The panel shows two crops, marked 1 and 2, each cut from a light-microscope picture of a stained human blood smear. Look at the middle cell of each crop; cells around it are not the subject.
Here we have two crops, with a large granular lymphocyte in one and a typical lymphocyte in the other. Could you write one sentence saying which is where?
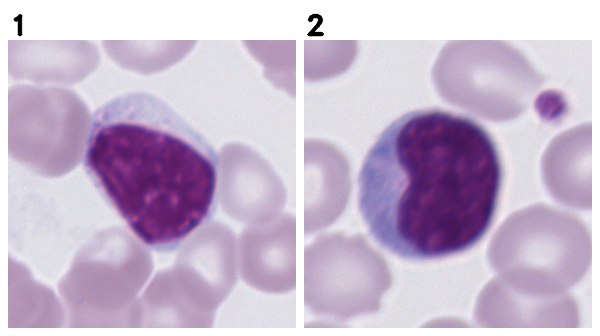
Crop 1 is occupied by a large granular lymphocyte, and crop 2 is occupied by a typical lymphocyte.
